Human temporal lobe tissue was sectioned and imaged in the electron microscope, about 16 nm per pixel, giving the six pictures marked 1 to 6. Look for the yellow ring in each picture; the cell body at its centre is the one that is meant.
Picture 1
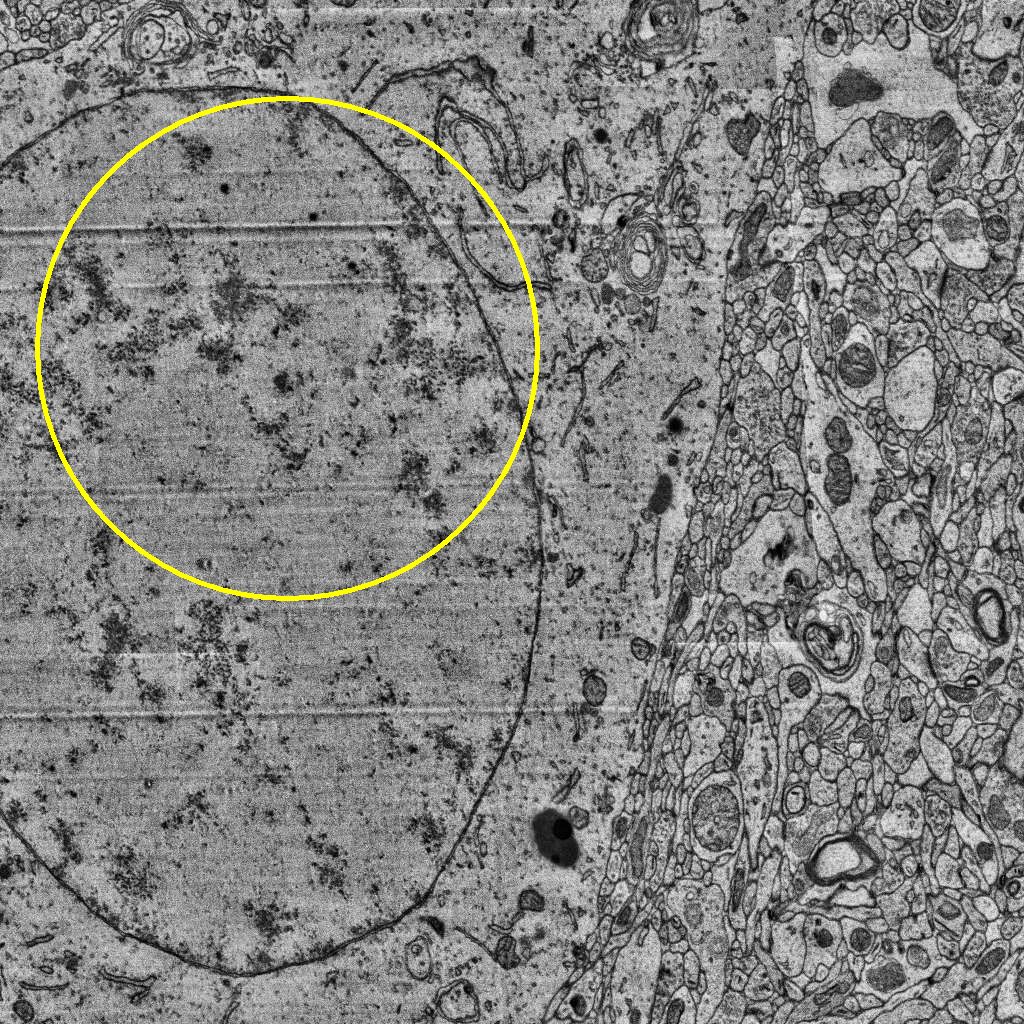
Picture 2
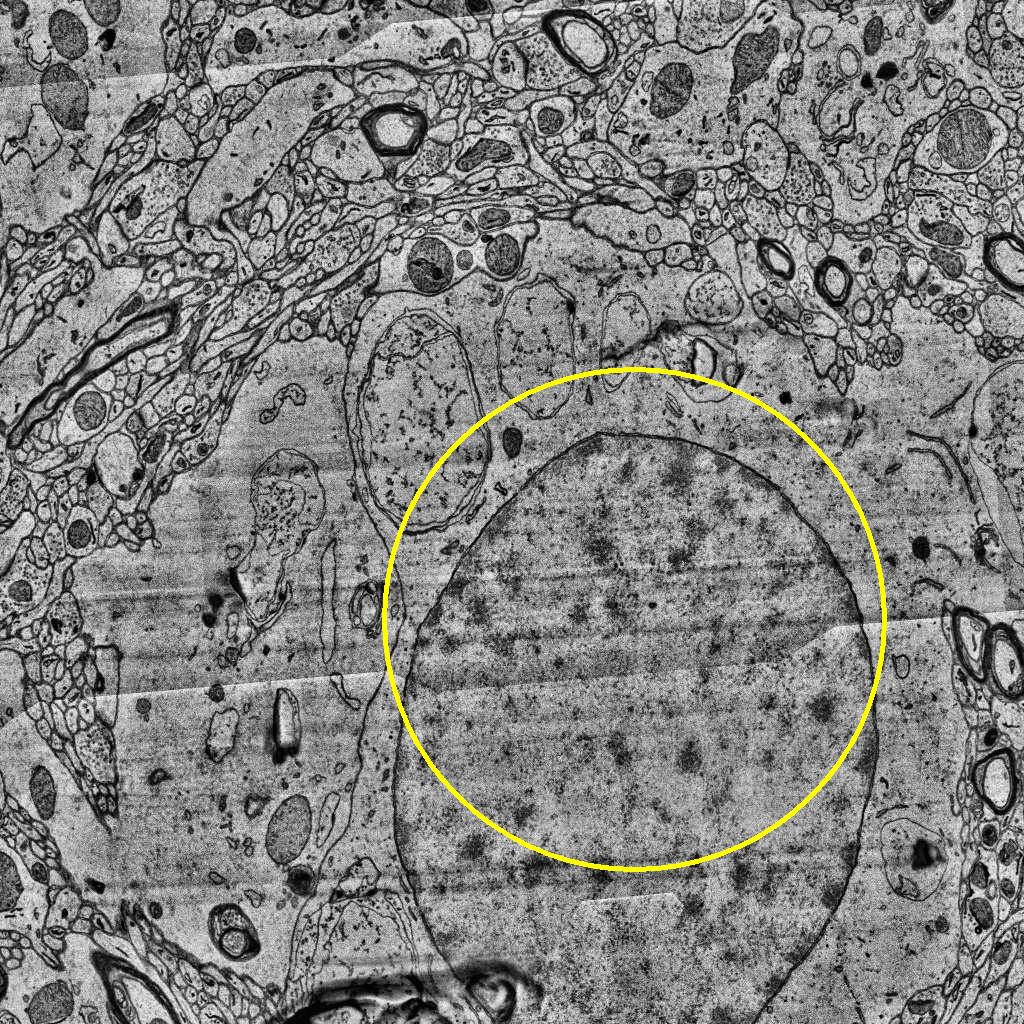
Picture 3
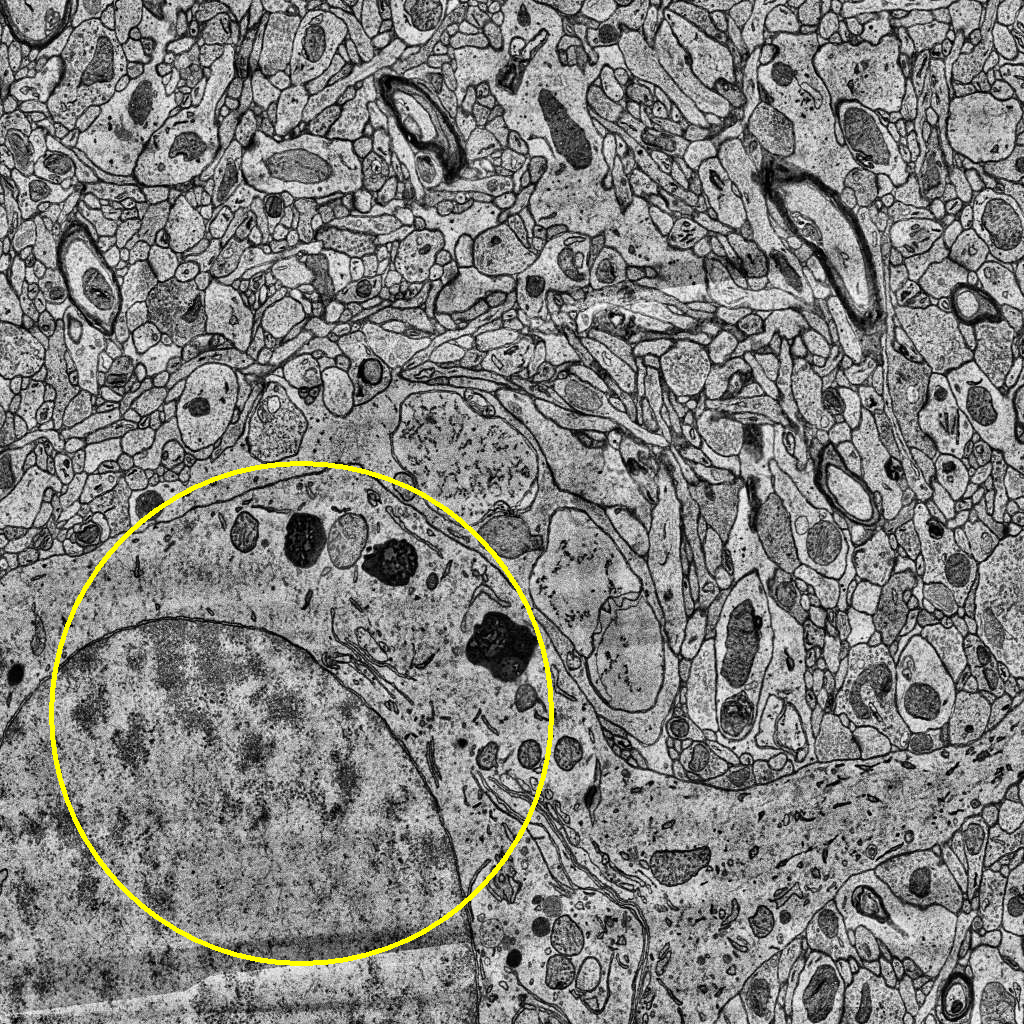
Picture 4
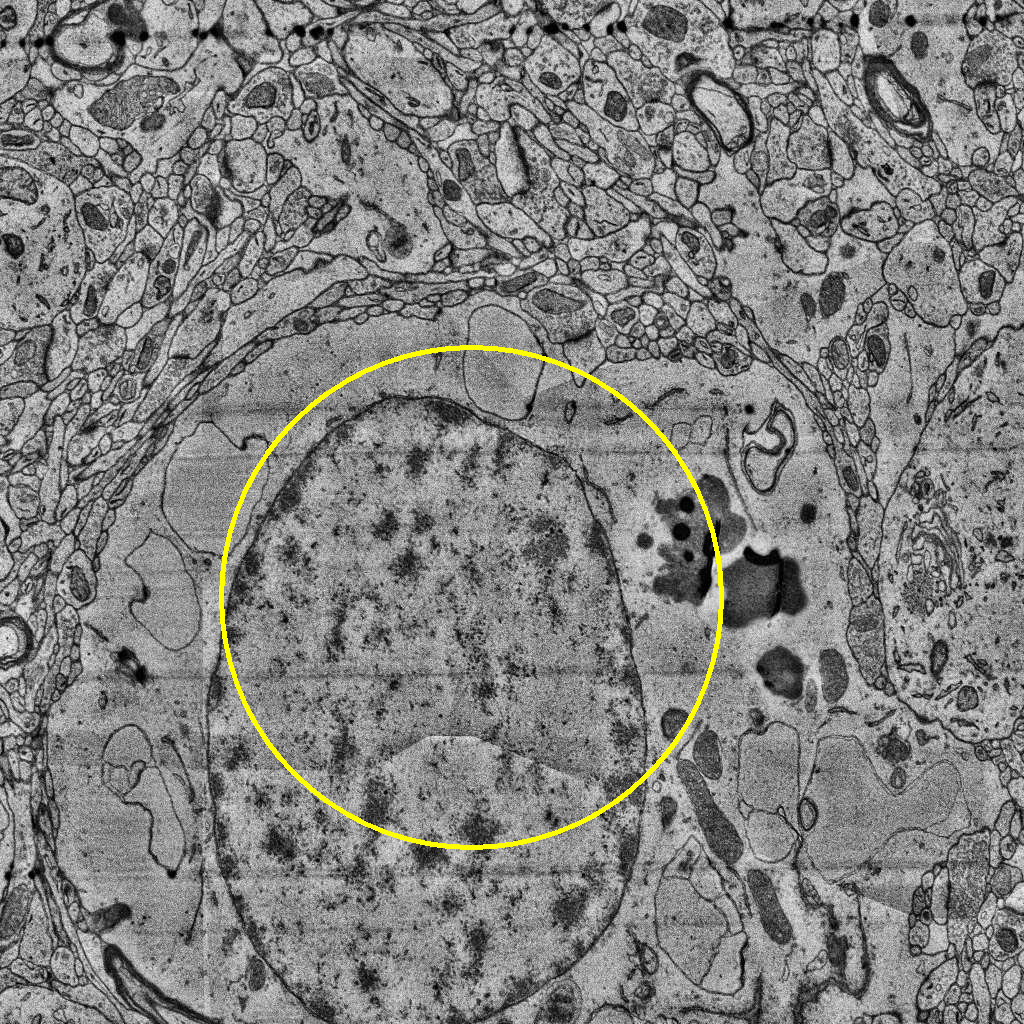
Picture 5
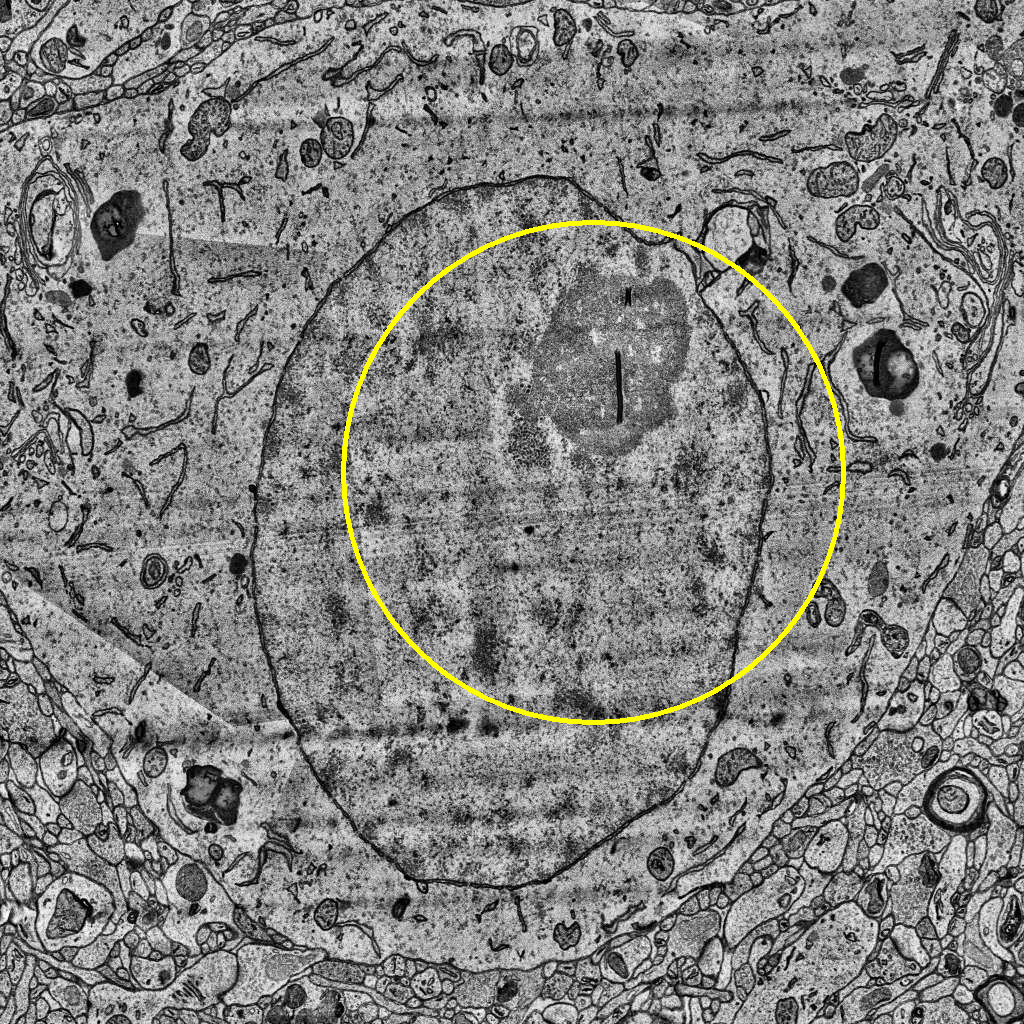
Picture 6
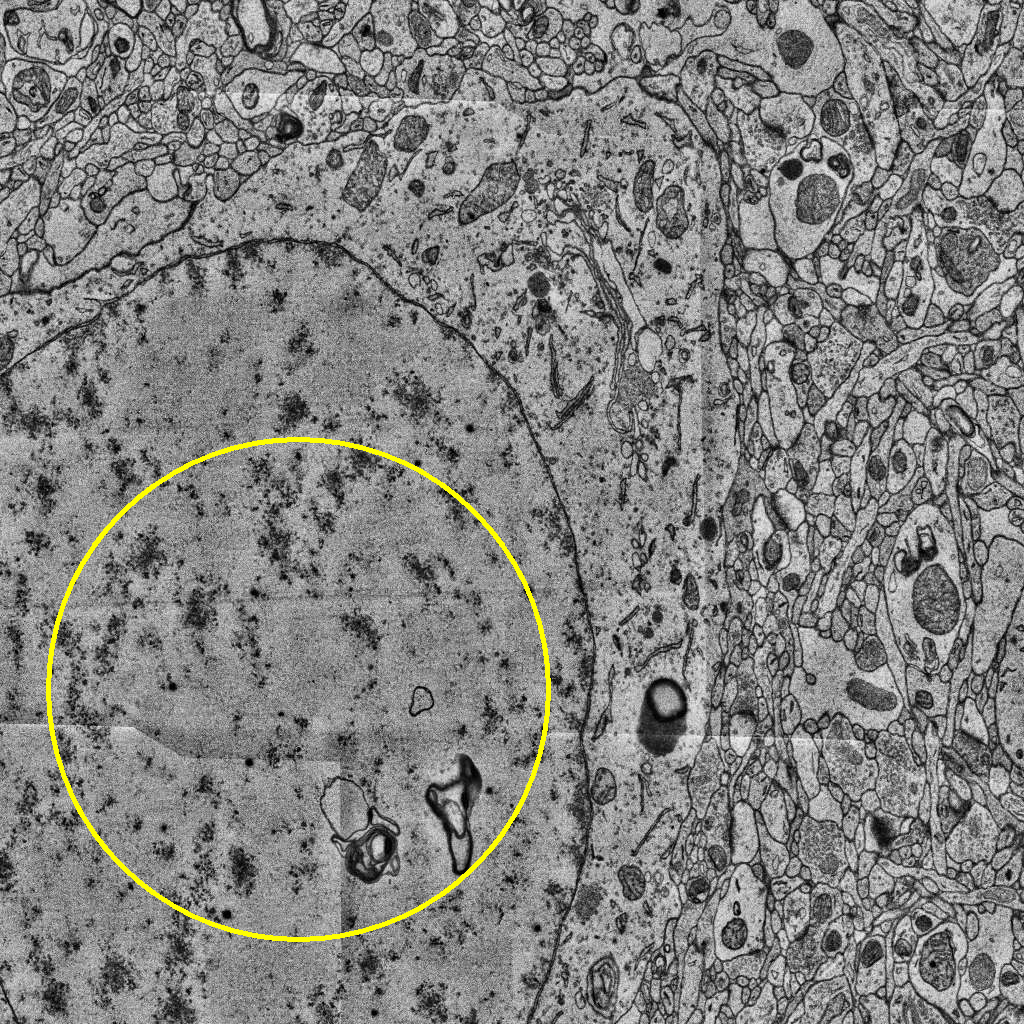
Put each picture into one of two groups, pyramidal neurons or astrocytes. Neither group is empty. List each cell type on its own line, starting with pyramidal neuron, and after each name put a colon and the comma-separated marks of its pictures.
pyramidal neuron: 1, 3, 5, 6
astrocyte: 2, 4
